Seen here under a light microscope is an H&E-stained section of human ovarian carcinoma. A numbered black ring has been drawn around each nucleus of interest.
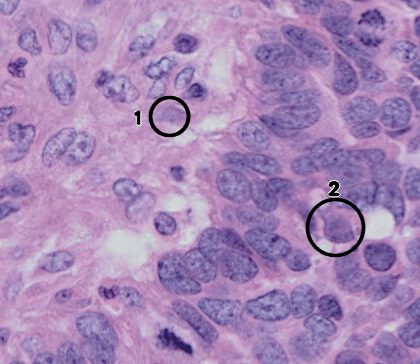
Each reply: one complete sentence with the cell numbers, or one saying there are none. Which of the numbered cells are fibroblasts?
Mind that only cell 1 is a fibroblast, none of the rest.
